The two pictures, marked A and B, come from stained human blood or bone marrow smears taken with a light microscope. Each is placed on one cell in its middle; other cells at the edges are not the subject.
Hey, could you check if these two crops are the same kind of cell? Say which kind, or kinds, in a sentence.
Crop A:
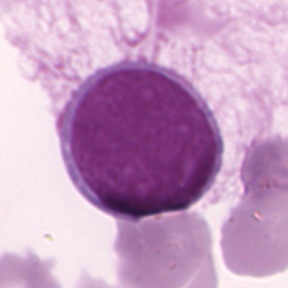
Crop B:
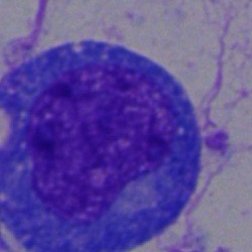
Yes, both crops are centred on blasts.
